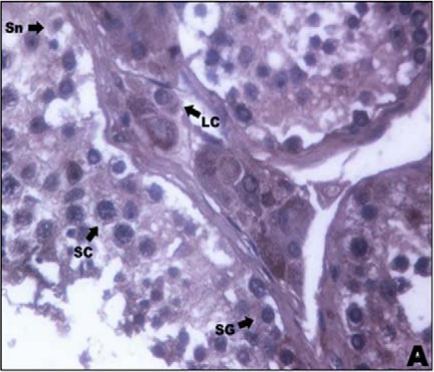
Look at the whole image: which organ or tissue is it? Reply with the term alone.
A: Normal testis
